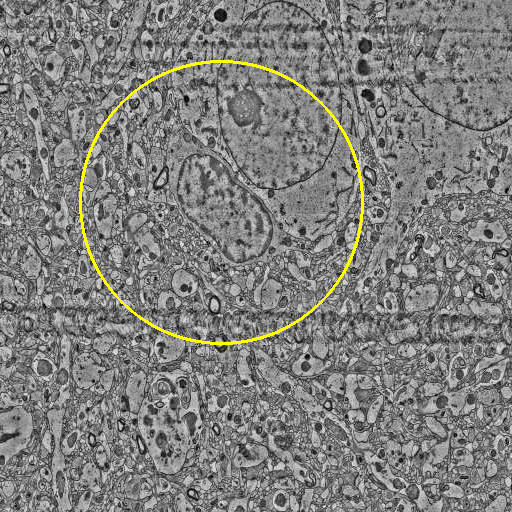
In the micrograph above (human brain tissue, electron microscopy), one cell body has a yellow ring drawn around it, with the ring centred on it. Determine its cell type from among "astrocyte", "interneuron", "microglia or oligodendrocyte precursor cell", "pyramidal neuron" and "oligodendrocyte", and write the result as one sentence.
The cell whose body is ringed is an oligodendrocyte.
